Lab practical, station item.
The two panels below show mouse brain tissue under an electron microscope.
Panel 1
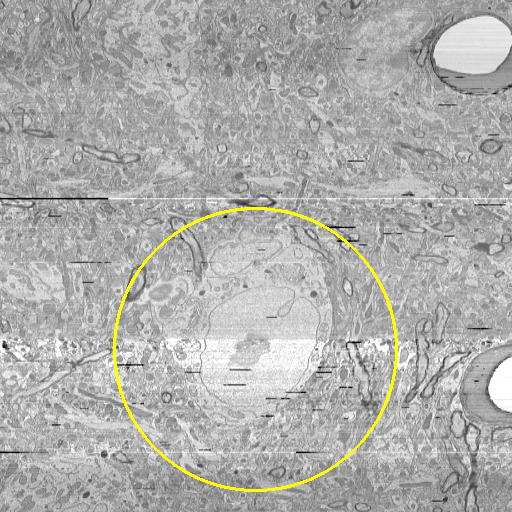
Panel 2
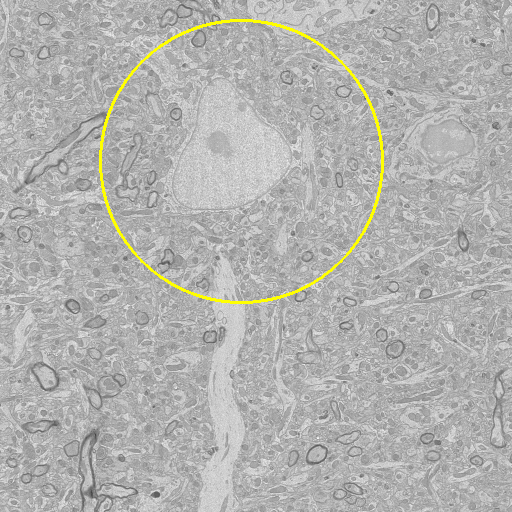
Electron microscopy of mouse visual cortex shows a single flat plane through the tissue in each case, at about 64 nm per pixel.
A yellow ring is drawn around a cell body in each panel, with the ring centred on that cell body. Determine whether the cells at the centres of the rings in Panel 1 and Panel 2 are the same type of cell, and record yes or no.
no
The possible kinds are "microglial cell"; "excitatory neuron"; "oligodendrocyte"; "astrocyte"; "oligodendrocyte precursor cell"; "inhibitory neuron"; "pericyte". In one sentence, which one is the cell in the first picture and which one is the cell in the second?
The cell ringed in the second picture is an astrocyte, whereas the one ringed in the first is an excitatory neuron.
